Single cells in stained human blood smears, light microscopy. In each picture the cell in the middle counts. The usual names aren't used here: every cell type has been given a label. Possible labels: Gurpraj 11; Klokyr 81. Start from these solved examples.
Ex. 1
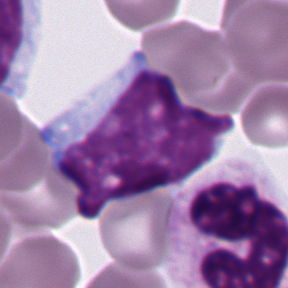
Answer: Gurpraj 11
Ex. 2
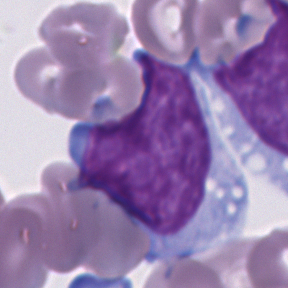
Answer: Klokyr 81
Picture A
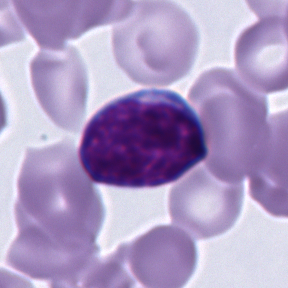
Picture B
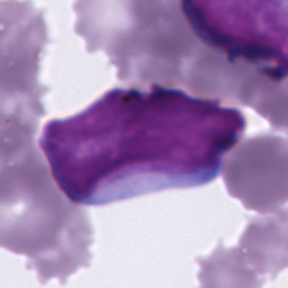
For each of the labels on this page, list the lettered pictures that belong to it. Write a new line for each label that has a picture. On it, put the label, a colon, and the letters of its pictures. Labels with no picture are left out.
Gurpraj 11: A
Klokyr 81: B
